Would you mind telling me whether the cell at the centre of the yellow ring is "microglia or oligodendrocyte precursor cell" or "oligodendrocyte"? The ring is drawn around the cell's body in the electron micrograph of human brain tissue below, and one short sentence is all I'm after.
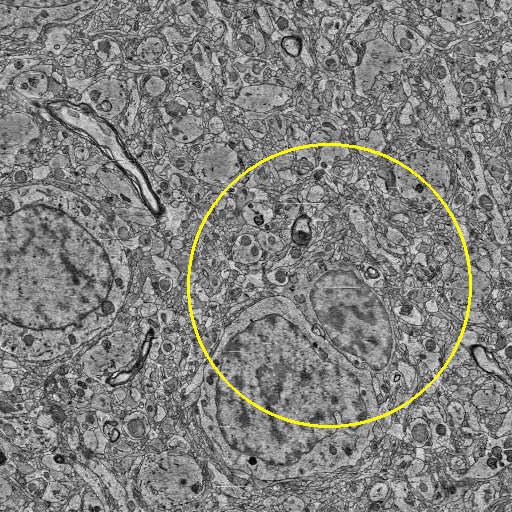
In the centre of the ring lies an oligodendrocyte.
